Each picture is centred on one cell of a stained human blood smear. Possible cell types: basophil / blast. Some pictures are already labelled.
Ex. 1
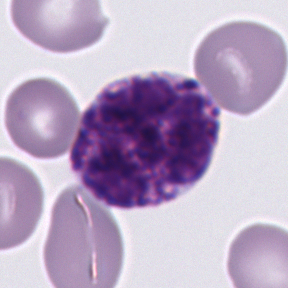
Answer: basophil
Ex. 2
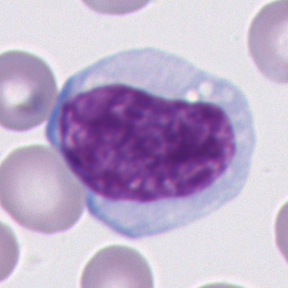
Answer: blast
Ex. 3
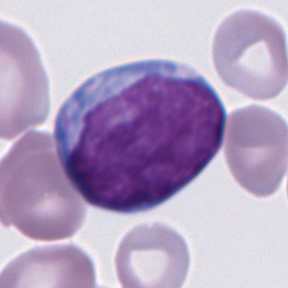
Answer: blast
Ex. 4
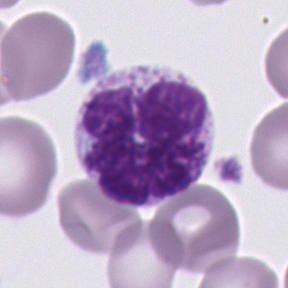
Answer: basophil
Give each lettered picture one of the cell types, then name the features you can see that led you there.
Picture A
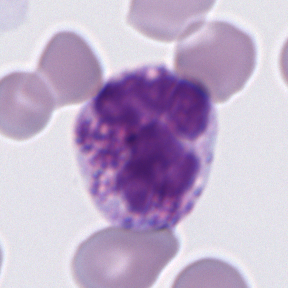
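basophil. Reason: The nucleus is divided into several lobes.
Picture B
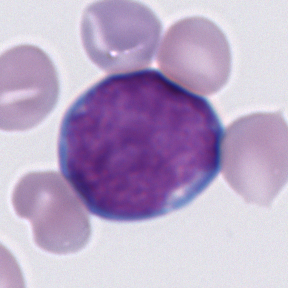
blast. Reason: The cytoplasm is blue.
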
